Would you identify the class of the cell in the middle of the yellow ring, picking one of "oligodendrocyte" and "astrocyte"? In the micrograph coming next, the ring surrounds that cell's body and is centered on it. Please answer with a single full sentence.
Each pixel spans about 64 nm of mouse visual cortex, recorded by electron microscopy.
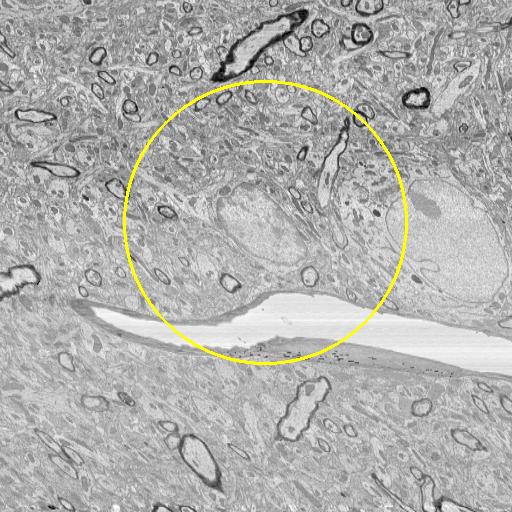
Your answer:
In the micrograph, it is an oligodendrocyte whose body lies at the ring's center.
